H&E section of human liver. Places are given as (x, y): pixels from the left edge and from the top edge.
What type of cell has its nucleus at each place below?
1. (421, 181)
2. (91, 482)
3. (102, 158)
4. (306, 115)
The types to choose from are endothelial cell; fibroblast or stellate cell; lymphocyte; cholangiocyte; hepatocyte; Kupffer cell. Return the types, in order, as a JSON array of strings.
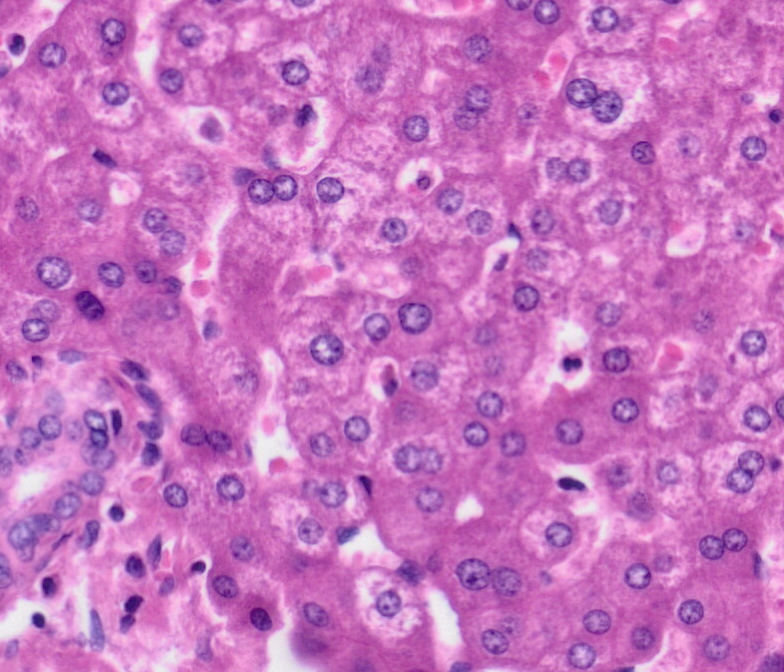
["Kupffer cell", "cholangiocyte", "fibroblast or stellate cell", "Kupffer cell"]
